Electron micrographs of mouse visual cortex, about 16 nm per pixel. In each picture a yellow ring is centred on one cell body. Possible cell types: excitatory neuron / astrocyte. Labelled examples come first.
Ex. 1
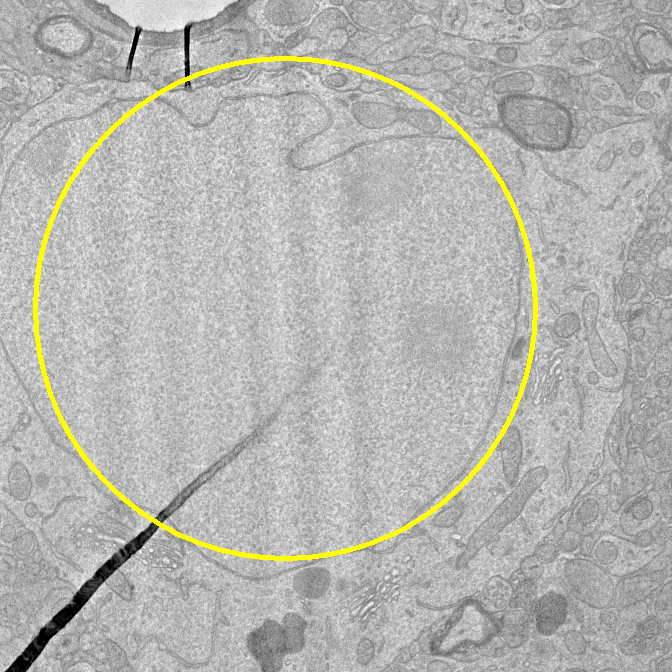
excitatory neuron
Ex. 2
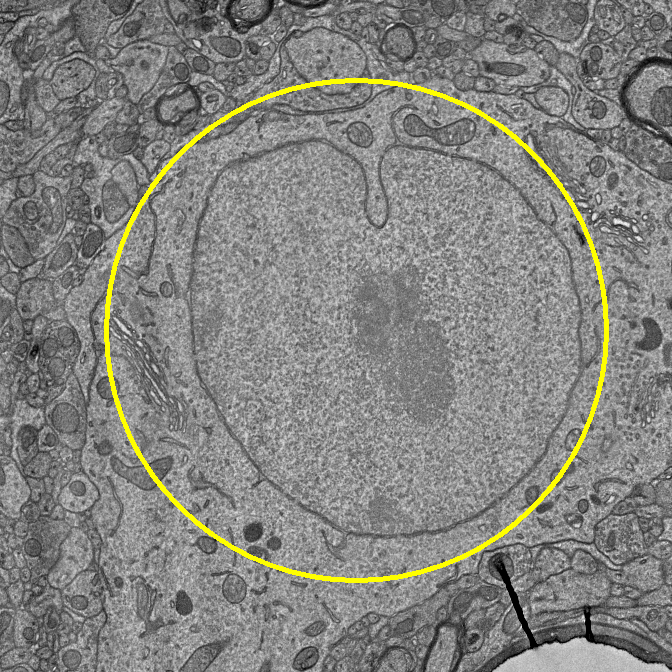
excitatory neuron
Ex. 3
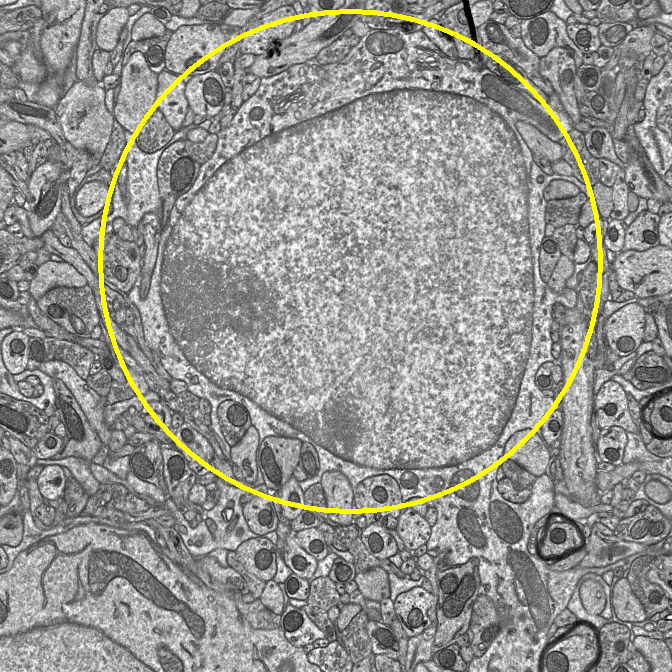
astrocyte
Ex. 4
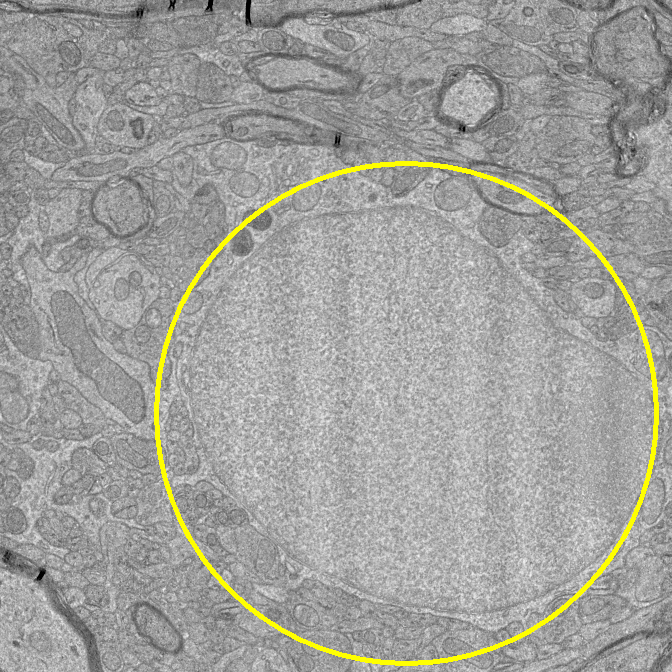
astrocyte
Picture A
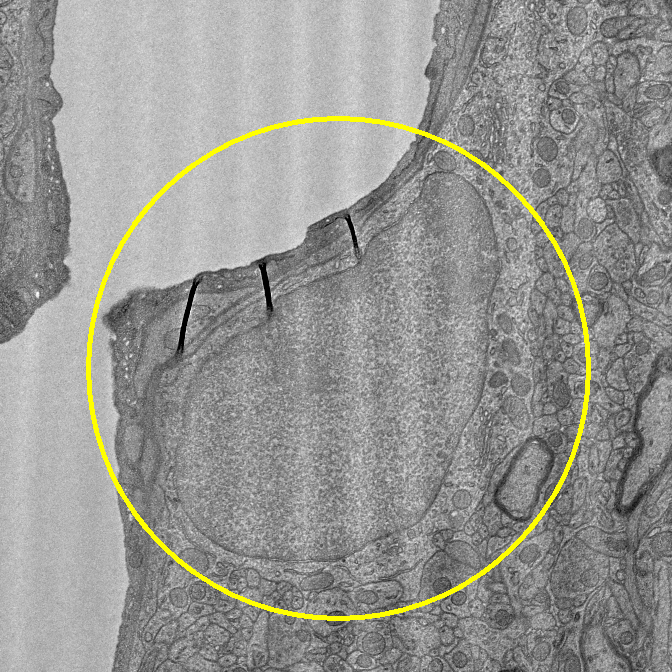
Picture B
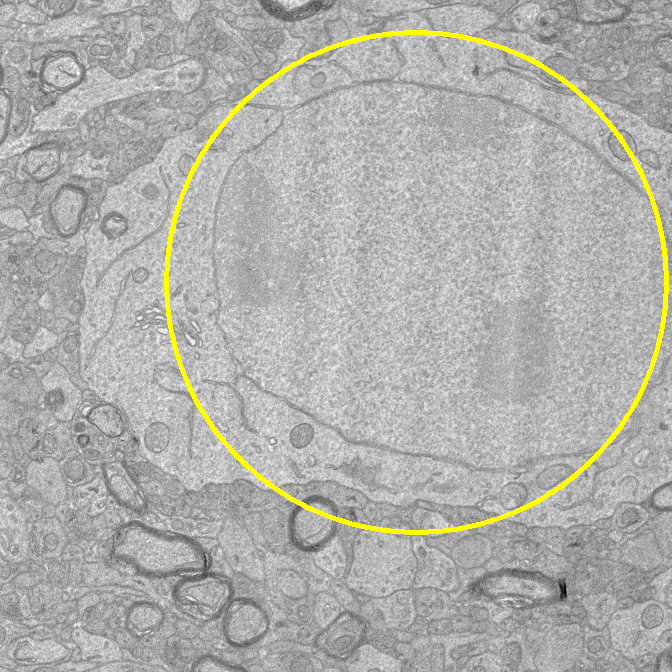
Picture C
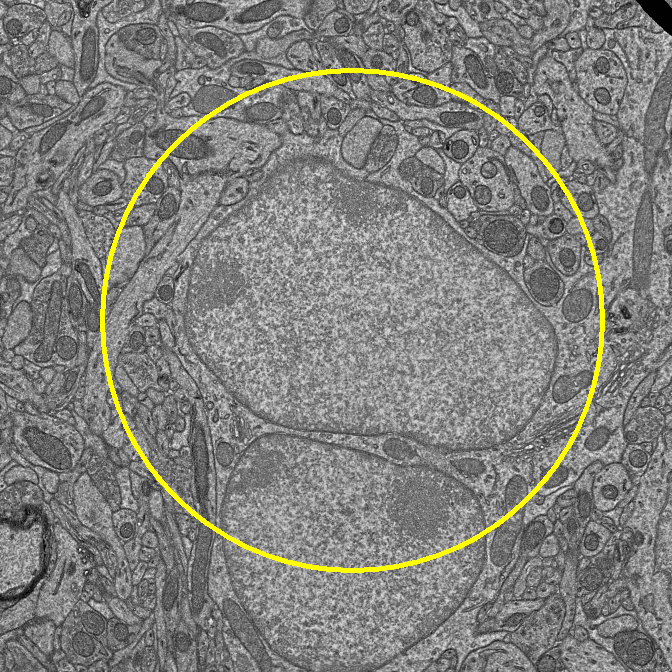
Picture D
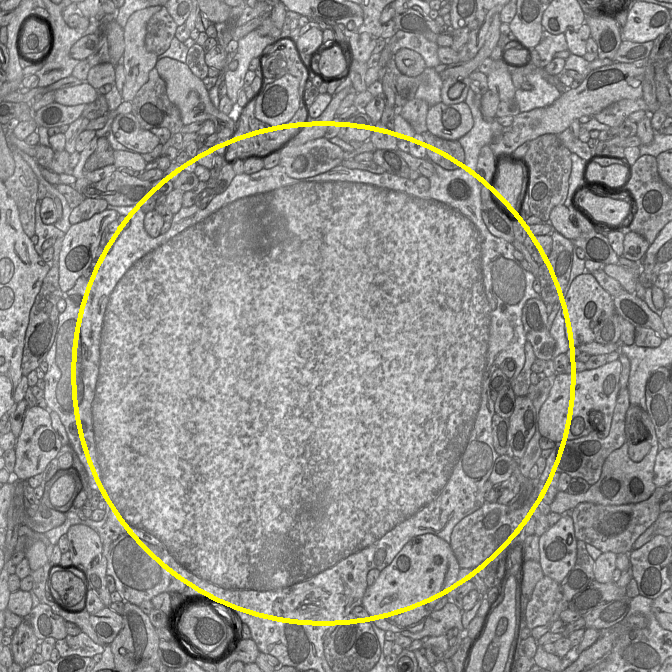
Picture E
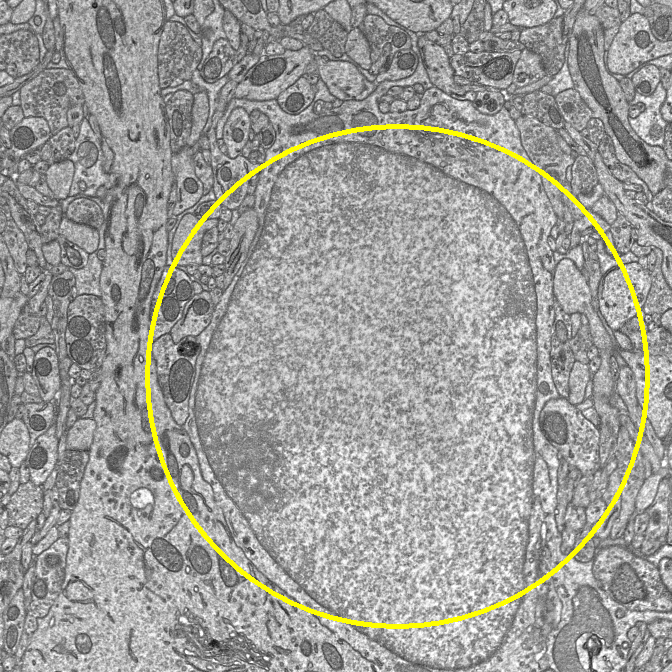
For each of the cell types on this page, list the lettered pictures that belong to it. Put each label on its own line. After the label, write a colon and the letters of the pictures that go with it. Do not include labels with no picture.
excitatory neuron: B
astrocyte: A, C, D, E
